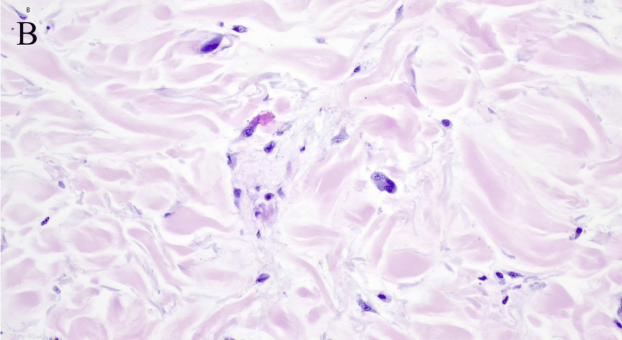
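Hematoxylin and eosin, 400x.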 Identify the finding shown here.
thickened collagen fibers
